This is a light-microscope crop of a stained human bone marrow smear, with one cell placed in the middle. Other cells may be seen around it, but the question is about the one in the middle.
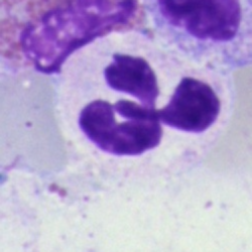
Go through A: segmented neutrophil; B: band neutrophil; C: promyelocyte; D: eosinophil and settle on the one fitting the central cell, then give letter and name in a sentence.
The cell at the heart of the crop is a segmented neutrophil, so choose option A.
